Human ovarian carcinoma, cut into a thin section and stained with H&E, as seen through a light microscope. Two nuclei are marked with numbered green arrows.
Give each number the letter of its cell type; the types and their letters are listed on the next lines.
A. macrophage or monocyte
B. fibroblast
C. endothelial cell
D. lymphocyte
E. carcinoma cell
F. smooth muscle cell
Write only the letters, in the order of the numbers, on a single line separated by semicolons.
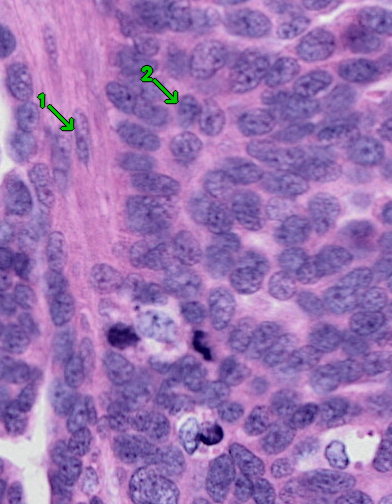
B; E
